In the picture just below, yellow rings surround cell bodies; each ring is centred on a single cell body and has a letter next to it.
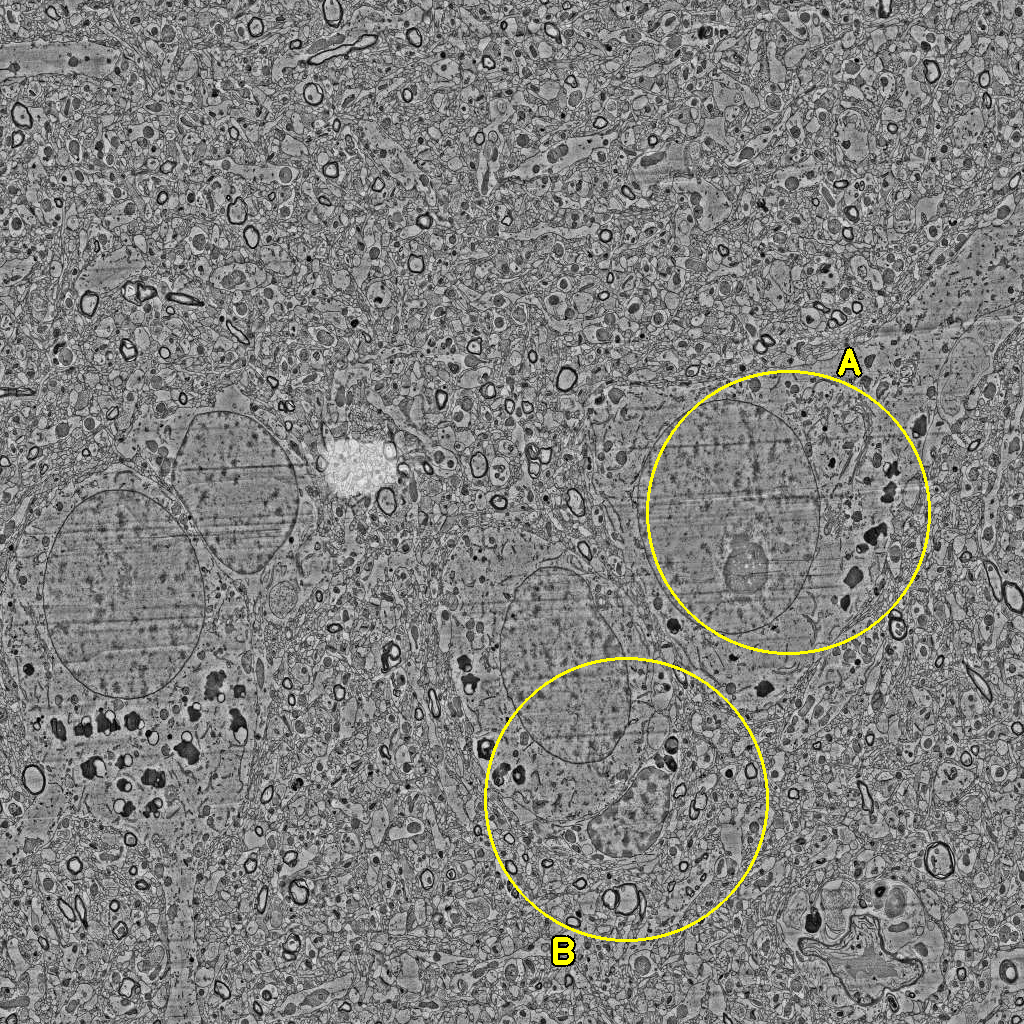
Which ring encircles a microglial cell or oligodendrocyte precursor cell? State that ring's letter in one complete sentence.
The letter B marks the ring centred on the cell asked for in the picture.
